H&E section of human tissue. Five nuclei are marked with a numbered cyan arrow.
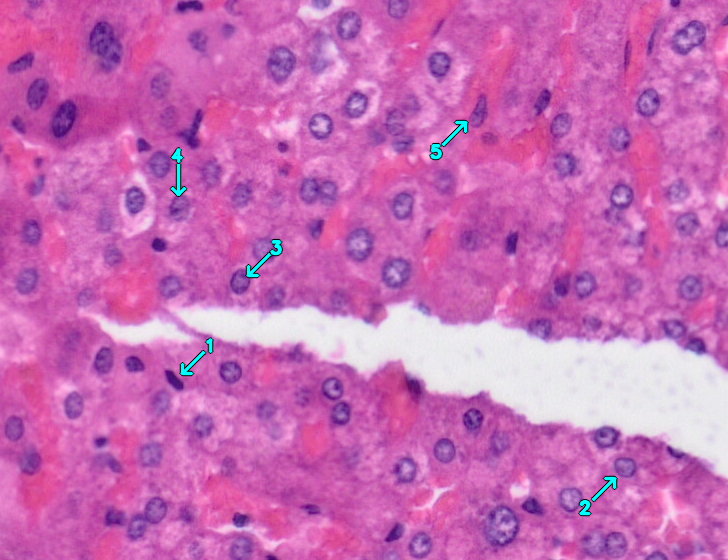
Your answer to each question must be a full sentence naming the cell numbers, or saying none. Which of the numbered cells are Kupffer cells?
Only the cell at mark 5 is a Kupffer cell, and no other marked cell is.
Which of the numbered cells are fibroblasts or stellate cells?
Exactly one of the numbered cells is a fibroblast or stellate cell, namely cell 1.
